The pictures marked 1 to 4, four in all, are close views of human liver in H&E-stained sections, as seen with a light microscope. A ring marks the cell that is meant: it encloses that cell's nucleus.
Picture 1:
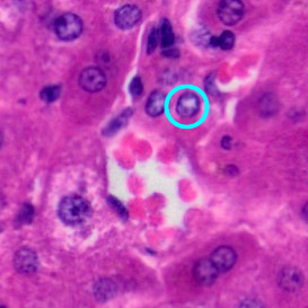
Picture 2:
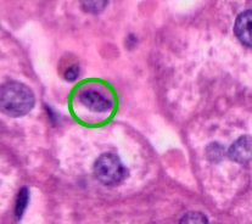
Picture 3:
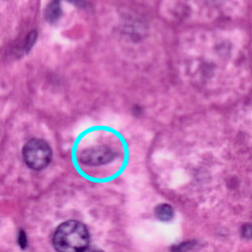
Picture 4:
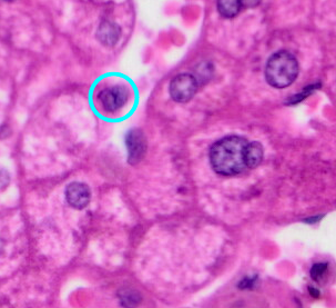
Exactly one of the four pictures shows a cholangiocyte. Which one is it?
1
